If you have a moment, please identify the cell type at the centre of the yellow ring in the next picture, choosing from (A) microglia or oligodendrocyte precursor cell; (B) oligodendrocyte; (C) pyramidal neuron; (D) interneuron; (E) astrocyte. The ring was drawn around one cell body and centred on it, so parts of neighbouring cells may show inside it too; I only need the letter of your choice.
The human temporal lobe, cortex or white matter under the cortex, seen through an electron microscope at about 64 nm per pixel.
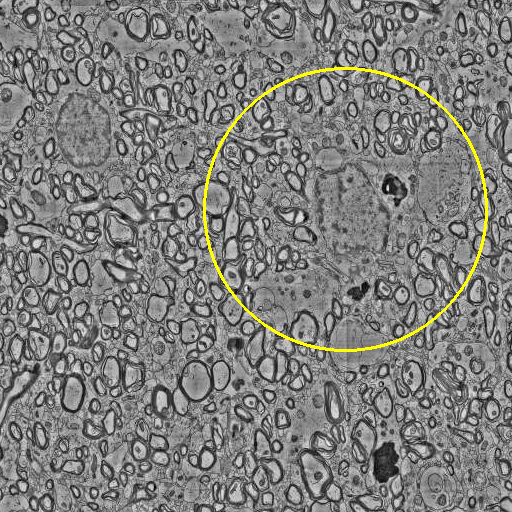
E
